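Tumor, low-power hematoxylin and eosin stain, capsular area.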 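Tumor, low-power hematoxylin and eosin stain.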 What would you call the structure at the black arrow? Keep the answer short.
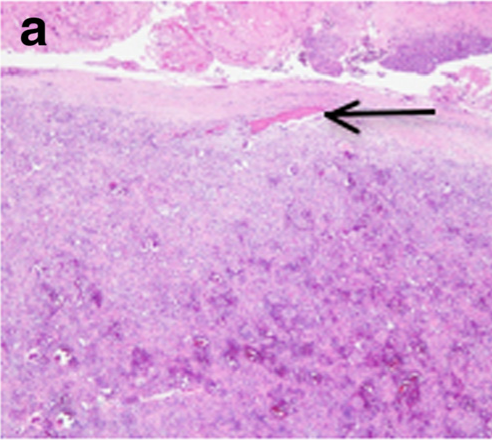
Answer: Tiny fragments of bone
